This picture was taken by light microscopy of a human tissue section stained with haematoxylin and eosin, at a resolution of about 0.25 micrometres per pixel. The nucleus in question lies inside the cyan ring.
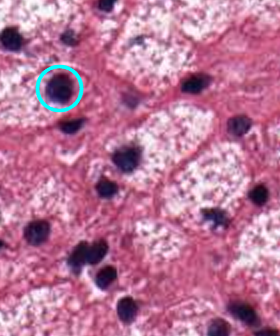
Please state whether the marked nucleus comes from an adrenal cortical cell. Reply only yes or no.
yes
